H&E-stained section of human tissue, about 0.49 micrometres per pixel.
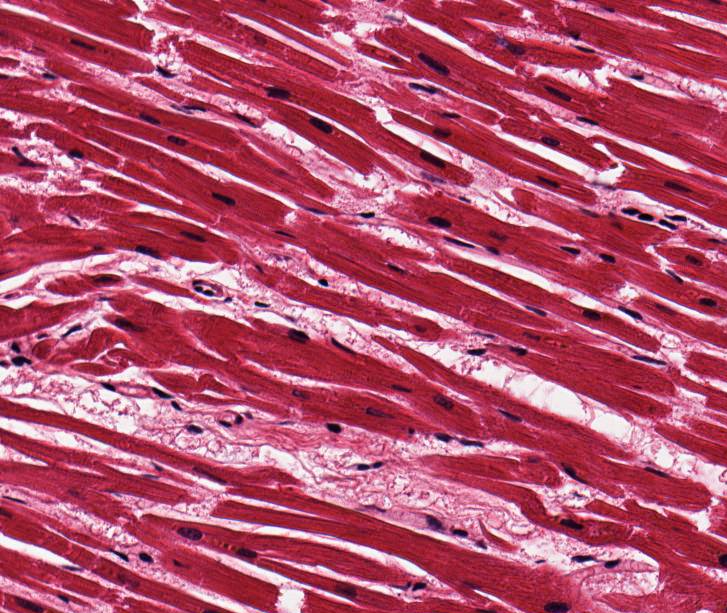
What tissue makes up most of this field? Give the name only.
myocardium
